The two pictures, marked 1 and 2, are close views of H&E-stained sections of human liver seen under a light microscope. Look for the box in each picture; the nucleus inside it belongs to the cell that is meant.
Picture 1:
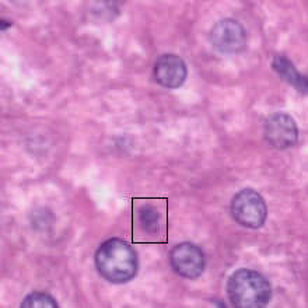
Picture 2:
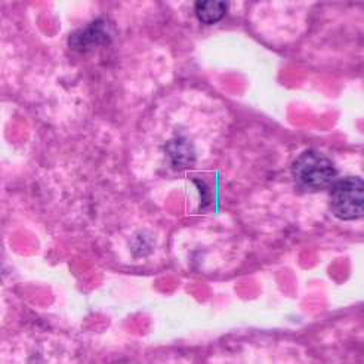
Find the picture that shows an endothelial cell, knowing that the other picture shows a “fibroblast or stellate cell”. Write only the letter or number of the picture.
2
